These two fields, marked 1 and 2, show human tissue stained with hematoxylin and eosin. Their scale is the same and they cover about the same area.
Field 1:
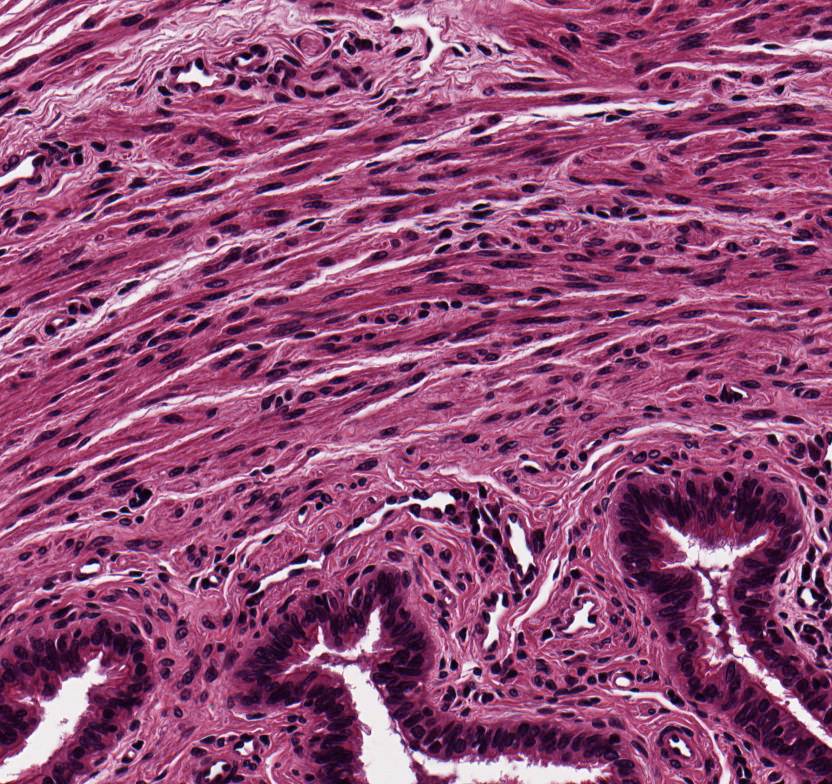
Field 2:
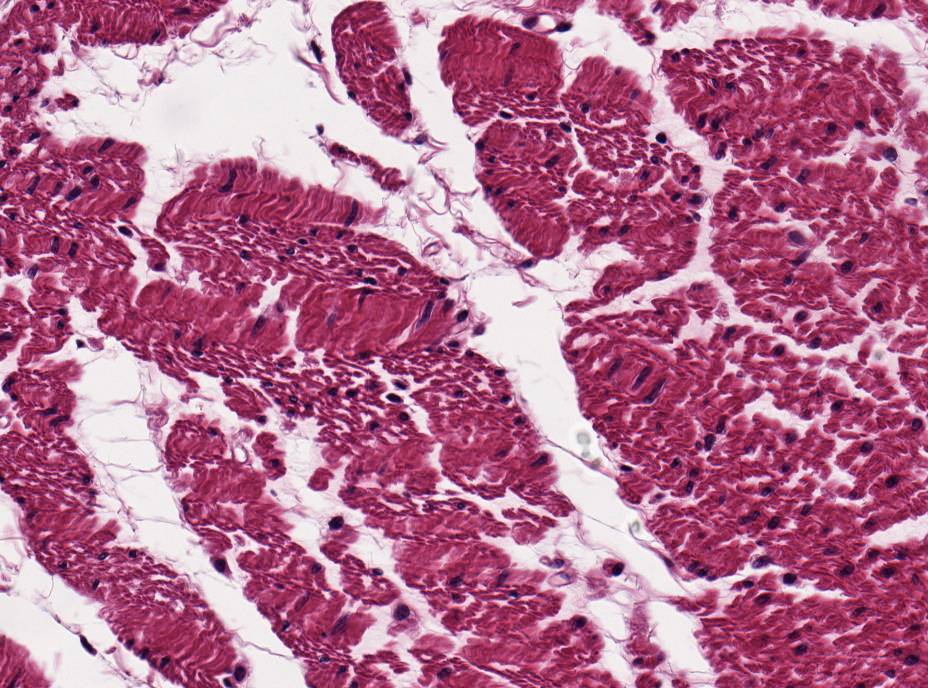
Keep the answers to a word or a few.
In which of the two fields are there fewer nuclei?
2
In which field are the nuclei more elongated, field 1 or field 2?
1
